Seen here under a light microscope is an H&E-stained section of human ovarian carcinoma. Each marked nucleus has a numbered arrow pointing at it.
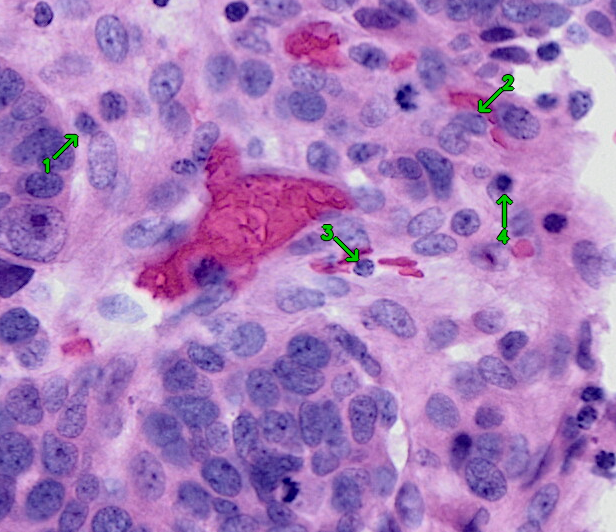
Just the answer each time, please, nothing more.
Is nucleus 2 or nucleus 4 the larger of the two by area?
2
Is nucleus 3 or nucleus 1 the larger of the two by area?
1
